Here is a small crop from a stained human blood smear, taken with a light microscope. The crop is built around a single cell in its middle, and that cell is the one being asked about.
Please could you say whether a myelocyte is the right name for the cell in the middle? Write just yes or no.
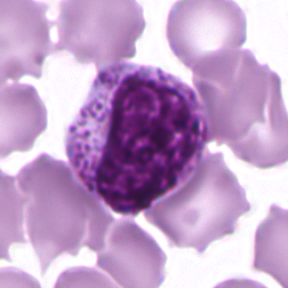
no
